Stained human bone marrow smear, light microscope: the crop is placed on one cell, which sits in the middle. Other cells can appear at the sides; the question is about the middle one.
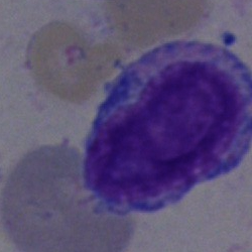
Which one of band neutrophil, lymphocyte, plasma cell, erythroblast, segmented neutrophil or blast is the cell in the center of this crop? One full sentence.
The cell shown in the center of this light-microscope crop is a blast.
